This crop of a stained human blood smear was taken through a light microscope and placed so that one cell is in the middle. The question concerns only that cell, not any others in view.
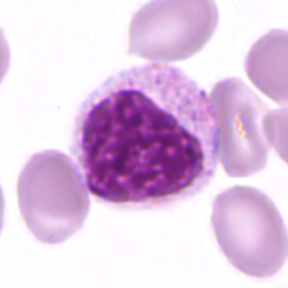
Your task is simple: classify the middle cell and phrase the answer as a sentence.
As for the cell in the middle, it is a metamyelocyte.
